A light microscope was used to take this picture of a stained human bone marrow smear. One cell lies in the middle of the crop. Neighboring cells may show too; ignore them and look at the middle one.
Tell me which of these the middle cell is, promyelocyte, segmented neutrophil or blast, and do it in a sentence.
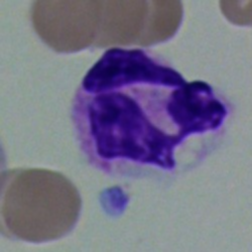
The centrally located cell in the crop is a segmented neutrophil.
